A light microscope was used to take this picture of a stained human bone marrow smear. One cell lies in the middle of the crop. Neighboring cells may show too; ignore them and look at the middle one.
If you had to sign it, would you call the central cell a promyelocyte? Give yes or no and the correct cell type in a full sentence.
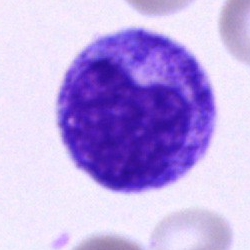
Yes, the cell in the centre is a promyelocyte.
